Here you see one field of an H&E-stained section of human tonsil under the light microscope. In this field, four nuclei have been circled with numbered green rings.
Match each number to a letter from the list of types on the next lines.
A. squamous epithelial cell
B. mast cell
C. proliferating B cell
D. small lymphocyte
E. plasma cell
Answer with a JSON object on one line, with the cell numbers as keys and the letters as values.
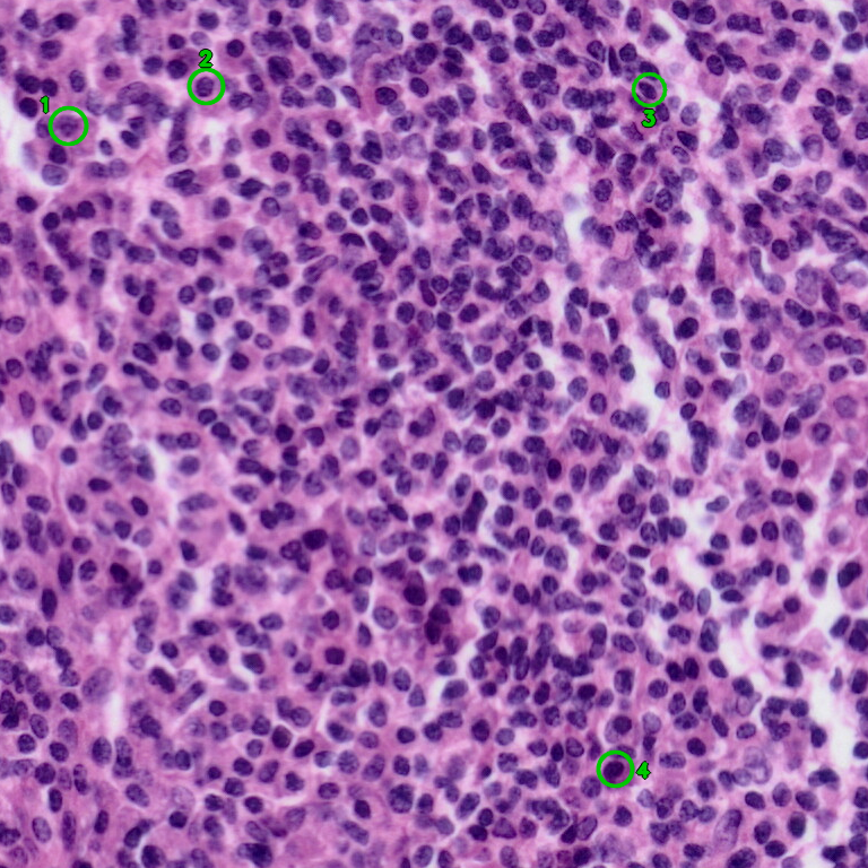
{"1": "E", "2": "E", "3": "D", "4": "E"}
